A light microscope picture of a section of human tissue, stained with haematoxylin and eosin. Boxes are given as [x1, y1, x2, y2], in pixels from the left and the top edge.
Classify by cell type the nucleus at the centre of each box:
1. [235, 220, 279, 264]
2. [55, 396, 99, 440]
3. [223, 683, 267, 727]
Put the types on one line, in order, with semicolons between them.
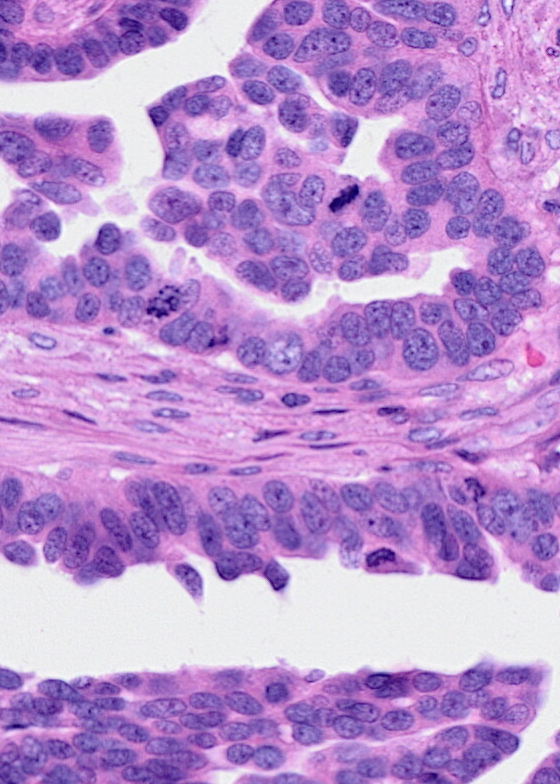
carcinoma cell; fibroblast; carcinoma cell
